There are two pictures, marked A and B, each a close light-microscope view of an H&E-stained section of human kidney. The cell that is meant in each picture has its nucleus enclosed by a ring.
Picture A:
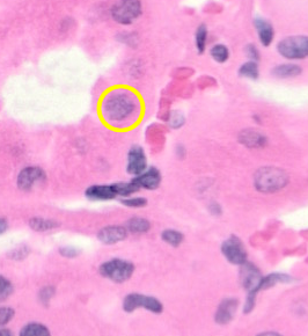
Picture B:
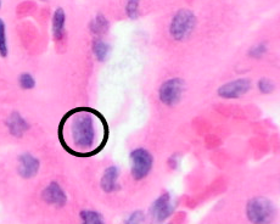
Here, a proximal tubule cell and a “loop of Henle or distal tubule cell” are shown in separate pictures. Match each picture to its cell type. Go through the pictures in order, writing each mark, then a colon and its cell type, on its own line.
A: proximal tubule cell
B: loop of Henle or distal tubule cell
